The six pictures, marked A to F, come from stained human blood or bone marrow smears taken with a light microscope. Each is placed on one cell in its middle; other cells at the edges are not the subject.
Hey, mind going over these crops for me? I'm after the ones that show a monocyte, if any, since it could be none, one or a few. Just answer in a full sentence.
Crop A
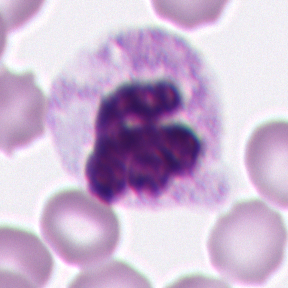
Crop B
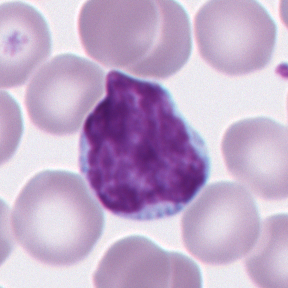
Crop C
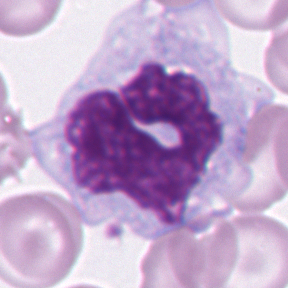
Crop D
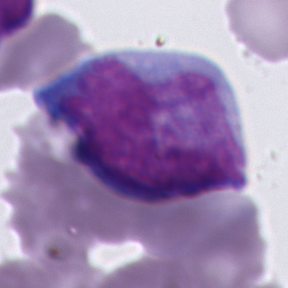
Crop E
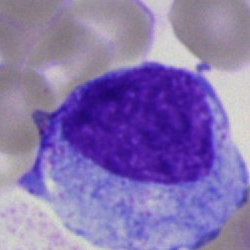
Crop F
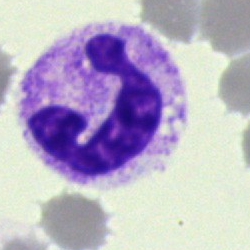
The only crop showing a monocyte is crop C.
